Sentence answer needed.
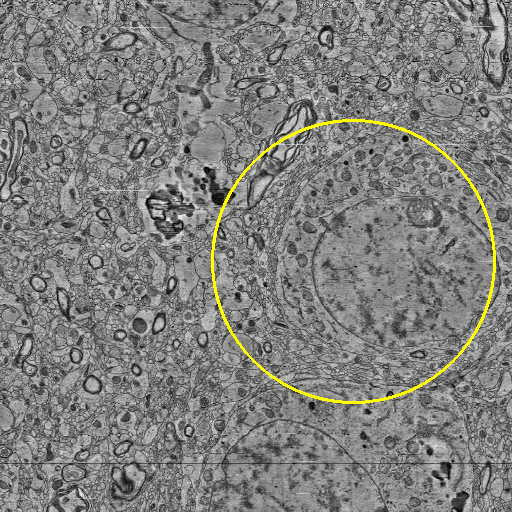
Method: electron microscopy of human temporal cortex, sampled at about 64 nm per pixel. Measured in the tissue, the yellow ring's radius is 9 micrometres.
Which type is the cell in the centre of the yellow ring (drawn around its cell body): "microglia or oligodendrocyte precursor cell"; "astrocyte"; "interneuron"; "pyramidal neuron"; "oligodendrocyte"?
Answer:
In the centre of the yellow ring is an interneuron.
